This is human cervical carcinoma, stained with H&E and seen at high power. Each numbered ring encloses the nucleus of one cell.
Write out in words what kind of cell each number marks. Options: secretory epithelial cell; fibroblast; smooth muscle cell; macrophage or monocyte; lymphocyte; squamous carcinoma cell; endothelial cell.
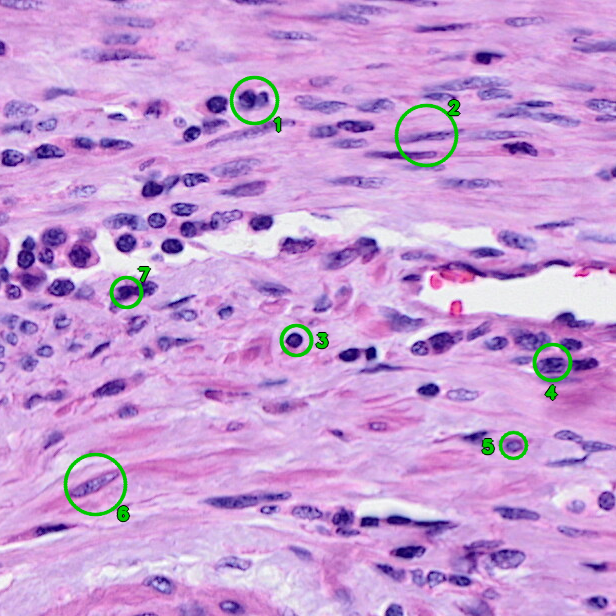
Cells 1, 3, 4 and 7 are lymphocytes. Cell 2 is a fibroblast. Cells 5 and 6 are smooth muscle cells.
